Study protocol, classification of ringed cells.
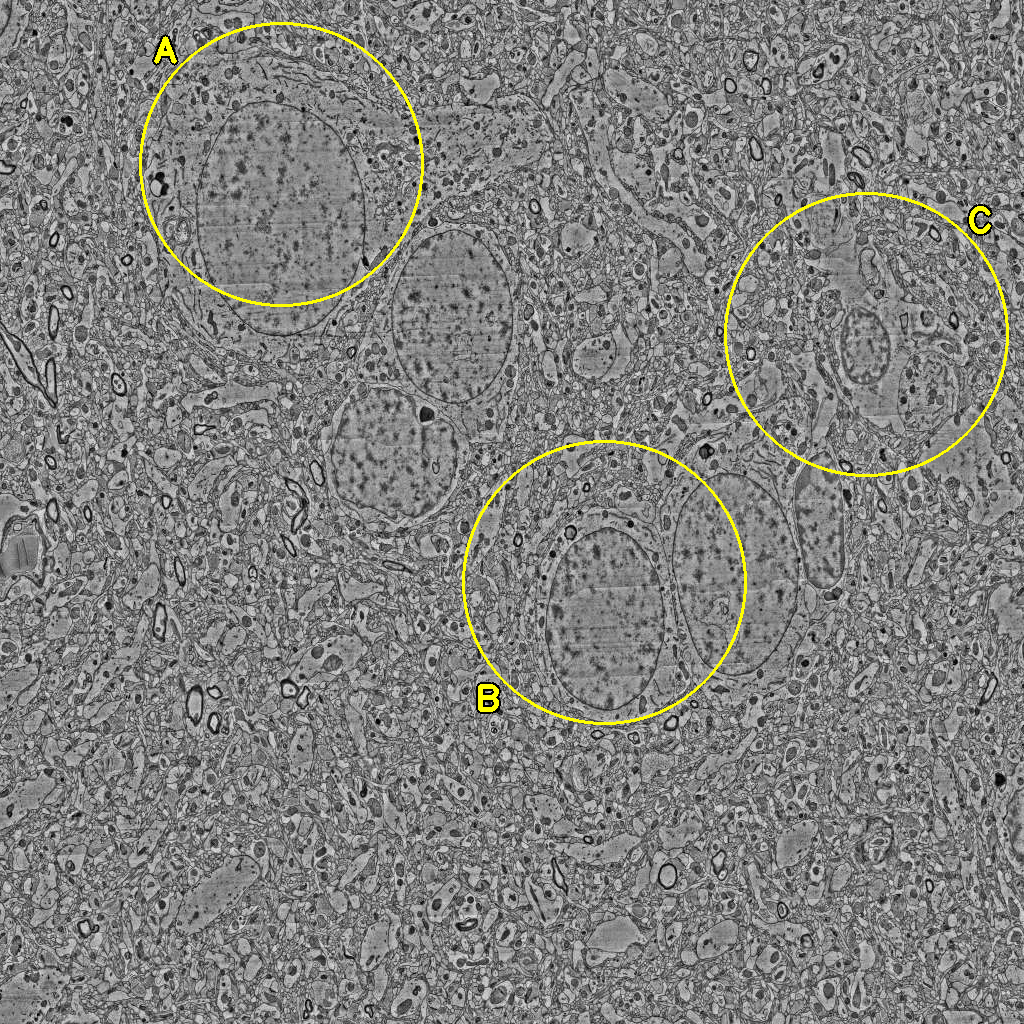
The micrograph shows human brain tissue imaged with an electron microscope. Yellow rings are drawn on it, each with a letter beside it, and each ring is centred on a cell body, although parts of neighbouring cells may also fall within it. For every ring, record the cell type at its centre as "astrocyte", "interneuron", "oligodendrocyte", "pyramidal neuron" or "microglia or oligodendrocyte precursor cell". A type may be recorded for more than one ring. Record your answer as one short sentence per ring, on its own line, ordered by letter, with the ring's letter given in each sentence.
Ring A has been centred on a pyramidal neuron.
Ring B has been centred on a pyramidal neuron.
Ring C has been centred on an astrocyte.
